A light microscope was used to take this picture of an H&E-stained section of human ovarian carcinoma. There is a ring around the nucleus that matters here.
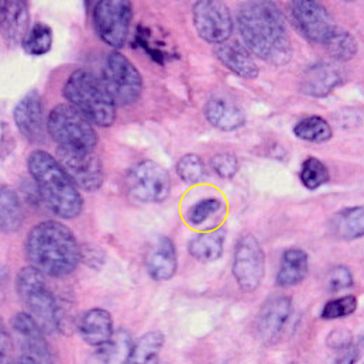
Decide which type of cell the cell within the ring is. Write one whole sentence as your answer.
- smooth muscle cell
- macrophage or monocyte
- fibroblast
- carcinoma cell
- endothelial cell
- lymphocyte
Within the stained tissue, the cell within the ring is a lymphocyte.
